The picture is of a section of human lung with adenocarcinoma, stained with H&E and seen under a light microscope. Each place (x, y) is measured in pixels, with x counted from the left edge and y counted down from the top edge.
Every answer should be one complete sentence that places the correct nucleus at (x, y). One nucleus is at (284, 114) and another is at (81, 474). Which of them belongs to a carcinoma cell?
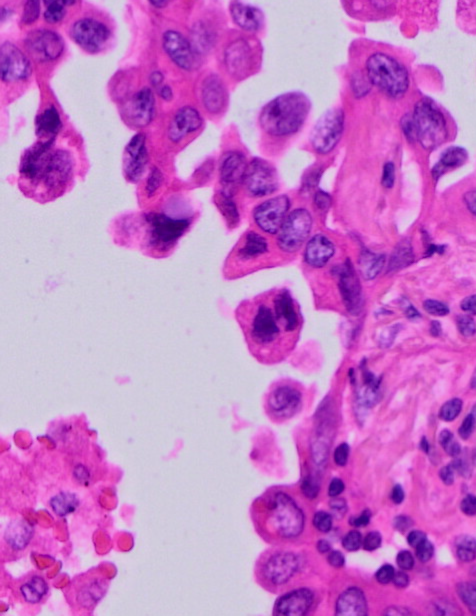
Lying within a carcinoma cell is the nucleus at (284, 114).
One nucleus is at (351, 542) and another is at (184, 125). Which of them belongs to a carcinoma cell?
Out of the two, it is the nucleus at (184, 125) that belongs to a carcinoma cell.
